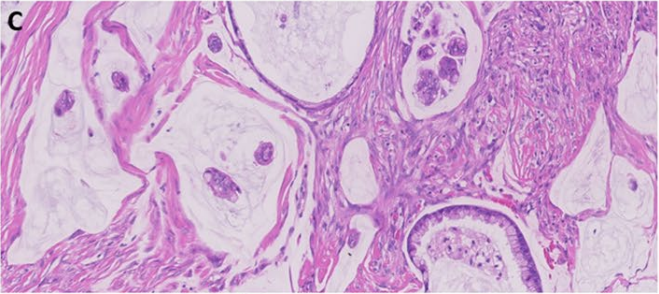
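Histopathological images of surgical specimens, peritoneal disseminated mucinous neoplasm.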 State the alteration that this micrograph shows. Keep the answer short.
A: High-grade cytologic grade atypia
